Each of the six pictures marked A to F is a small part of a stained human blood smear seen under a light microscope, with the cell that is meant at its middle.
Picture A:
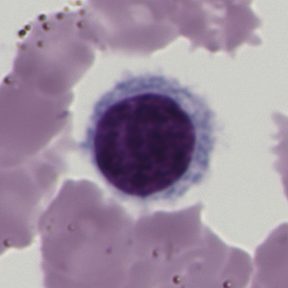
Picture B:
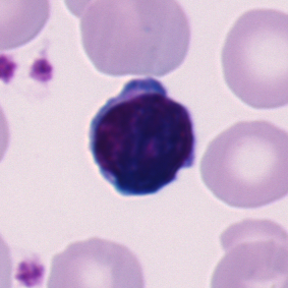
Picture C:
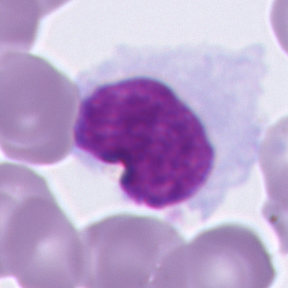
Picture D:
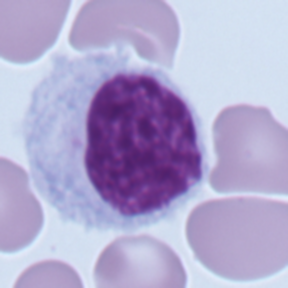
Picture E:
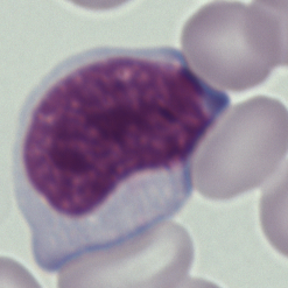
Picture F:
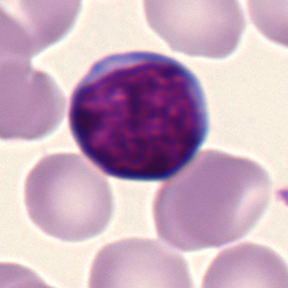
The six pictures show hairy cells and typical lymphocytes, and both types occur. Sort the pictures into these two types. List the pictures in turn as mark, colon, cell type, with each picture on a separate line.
A: hairy cell
B: typical lymphocyte
C: hairy cell
D: hairy cell
E: typical lymphocyte
F: typical lymphocyte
